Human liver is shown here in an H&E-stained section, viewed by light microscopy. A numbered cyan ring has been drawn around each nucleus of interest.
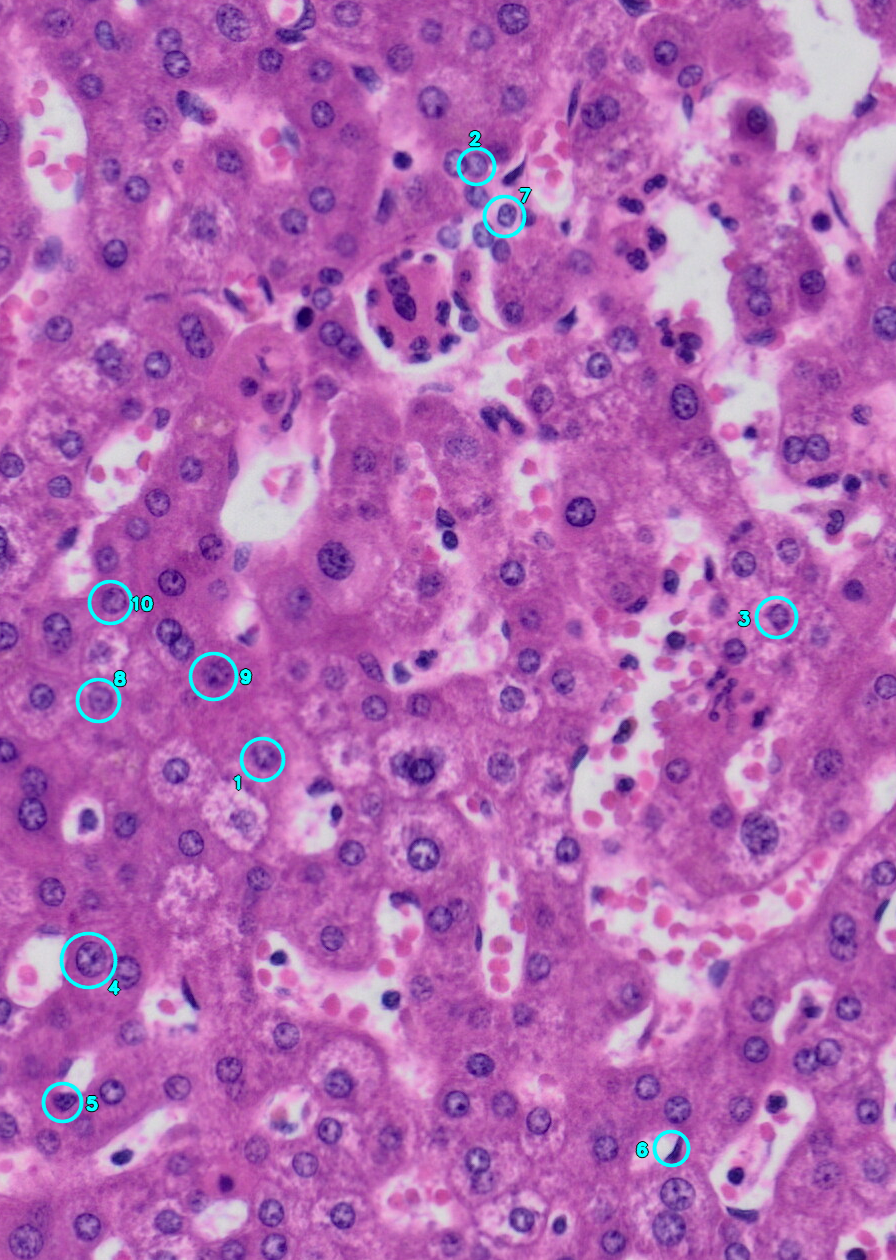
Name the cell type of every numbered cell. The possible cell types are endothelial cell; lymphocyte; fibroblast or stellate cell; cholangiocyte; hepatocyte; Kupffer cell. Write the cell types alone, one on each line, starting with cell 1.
hepatocyte
cholangiocyte
hepatocyte
hepatocyte
fibroblast or stellate cell
endothelial cell
cholangiocyte
hepatocyte
hepatocyte
hepatocyte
